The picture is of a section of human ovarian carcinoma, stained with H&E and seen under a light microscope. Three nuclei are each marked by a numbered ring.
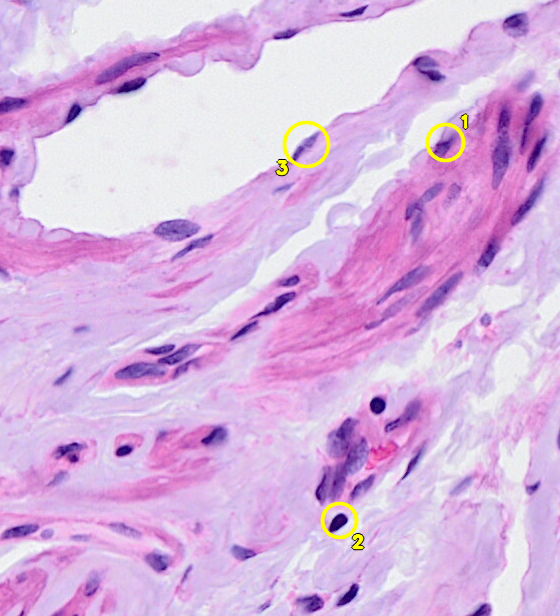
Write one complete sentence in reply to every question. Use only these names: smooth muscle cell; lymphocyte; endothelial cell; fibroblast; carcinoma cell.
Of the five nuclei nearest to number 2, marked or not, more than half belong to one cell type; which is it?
The majority of the five nuclei closest to number 2 belong to endothelial cells.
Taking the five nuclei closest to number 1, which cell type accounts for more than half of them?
Of the five nuclei nearest to number 1, most belong to smooth muscle cells.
